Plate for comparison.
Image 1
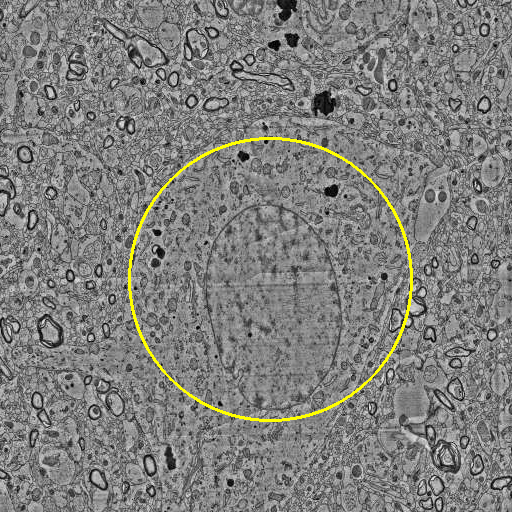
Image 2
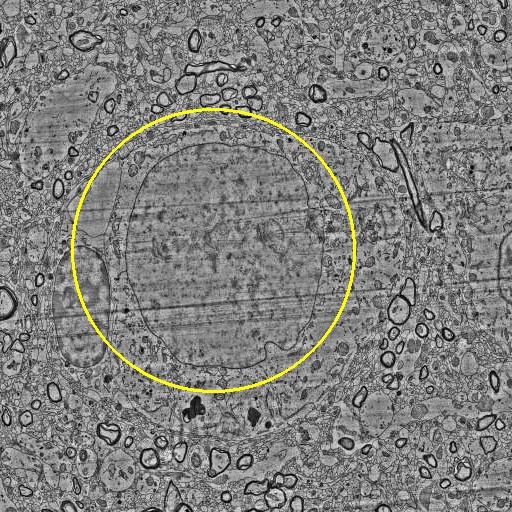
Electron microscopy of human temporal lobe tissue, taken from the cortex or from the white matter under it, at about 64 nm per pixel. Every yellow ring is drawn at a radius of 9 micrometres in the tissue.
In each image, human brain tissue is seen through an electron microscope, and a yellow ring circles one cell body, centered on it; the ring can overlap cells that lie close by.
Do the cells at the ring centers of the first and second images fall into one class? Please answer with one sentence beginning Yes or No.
Yes, the first and second images show a single class of cell at the ring centers.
